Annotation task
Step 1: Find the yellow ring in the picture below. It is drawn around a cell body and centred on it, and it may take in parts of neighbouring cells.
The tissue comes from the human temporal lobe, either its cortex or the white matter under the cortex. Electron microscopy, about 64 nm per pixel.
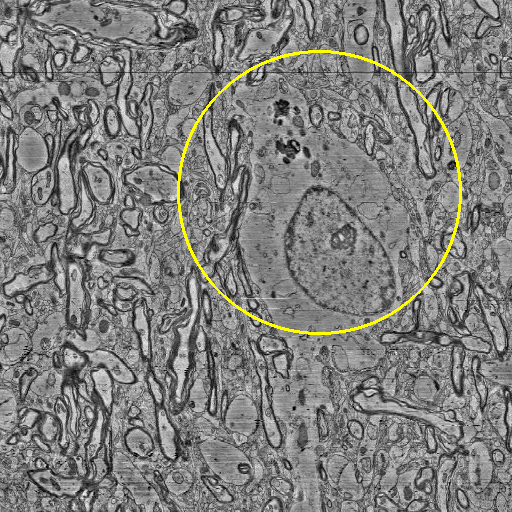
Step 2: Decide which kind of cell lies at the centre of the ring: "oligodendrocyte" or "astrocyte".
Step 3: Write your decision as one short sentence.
The kind of cell at the ring's centre is an astrocyte.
